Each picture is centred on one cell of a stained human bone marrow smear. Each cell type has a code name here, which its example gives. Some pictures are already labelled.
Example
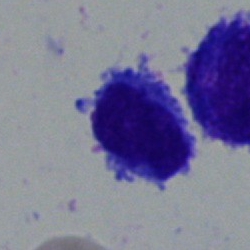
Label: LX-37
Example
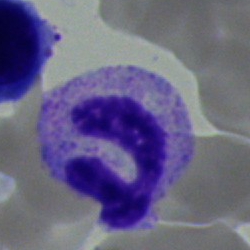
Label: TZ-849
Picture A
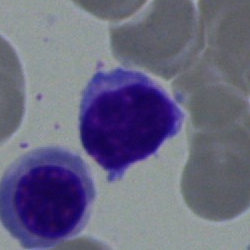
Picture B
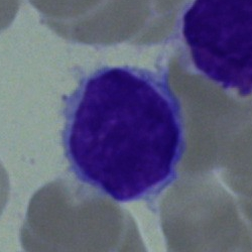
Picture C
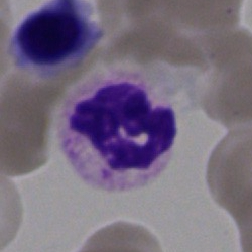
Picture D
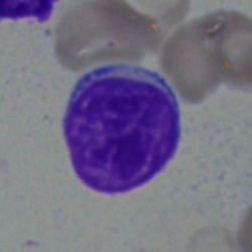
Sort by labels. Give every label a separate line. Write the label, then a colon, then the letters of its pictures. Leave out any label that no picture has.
LX-37: A, B, D
TZ-849: C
